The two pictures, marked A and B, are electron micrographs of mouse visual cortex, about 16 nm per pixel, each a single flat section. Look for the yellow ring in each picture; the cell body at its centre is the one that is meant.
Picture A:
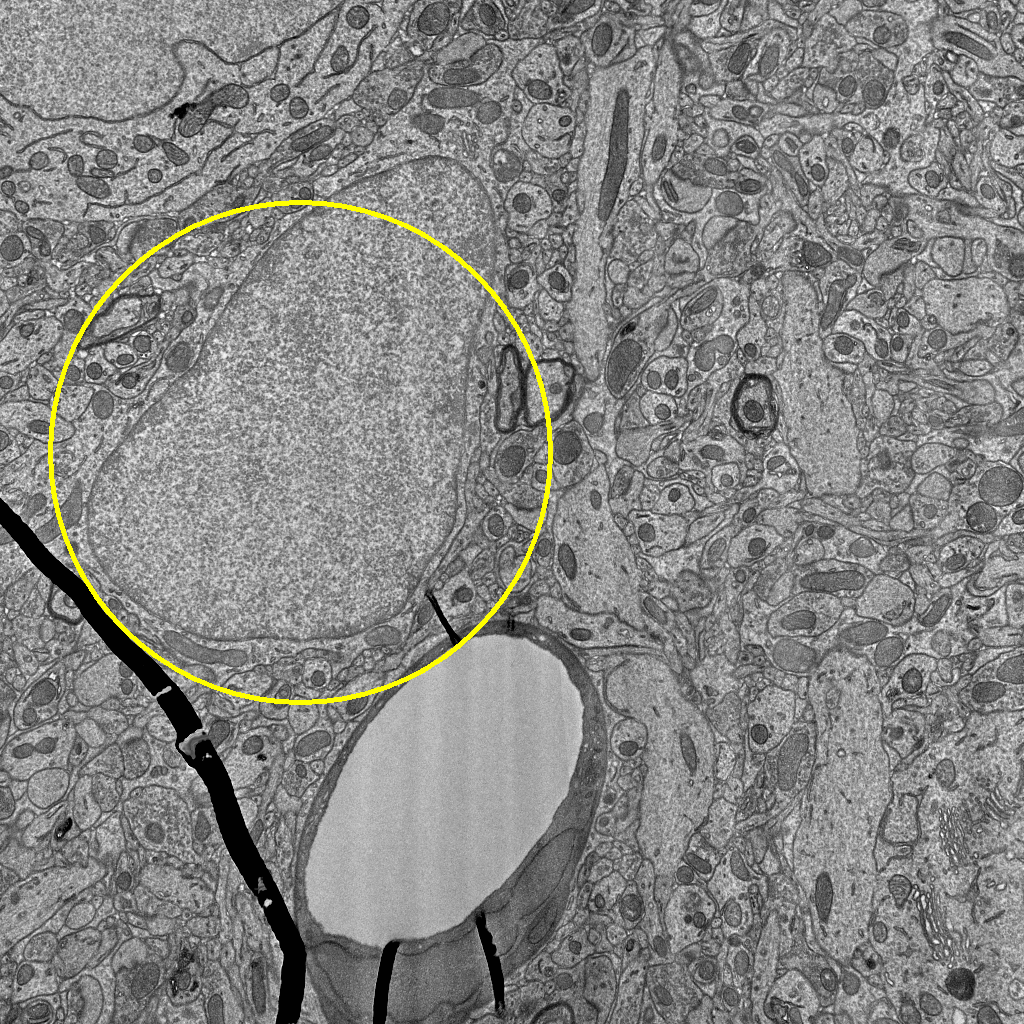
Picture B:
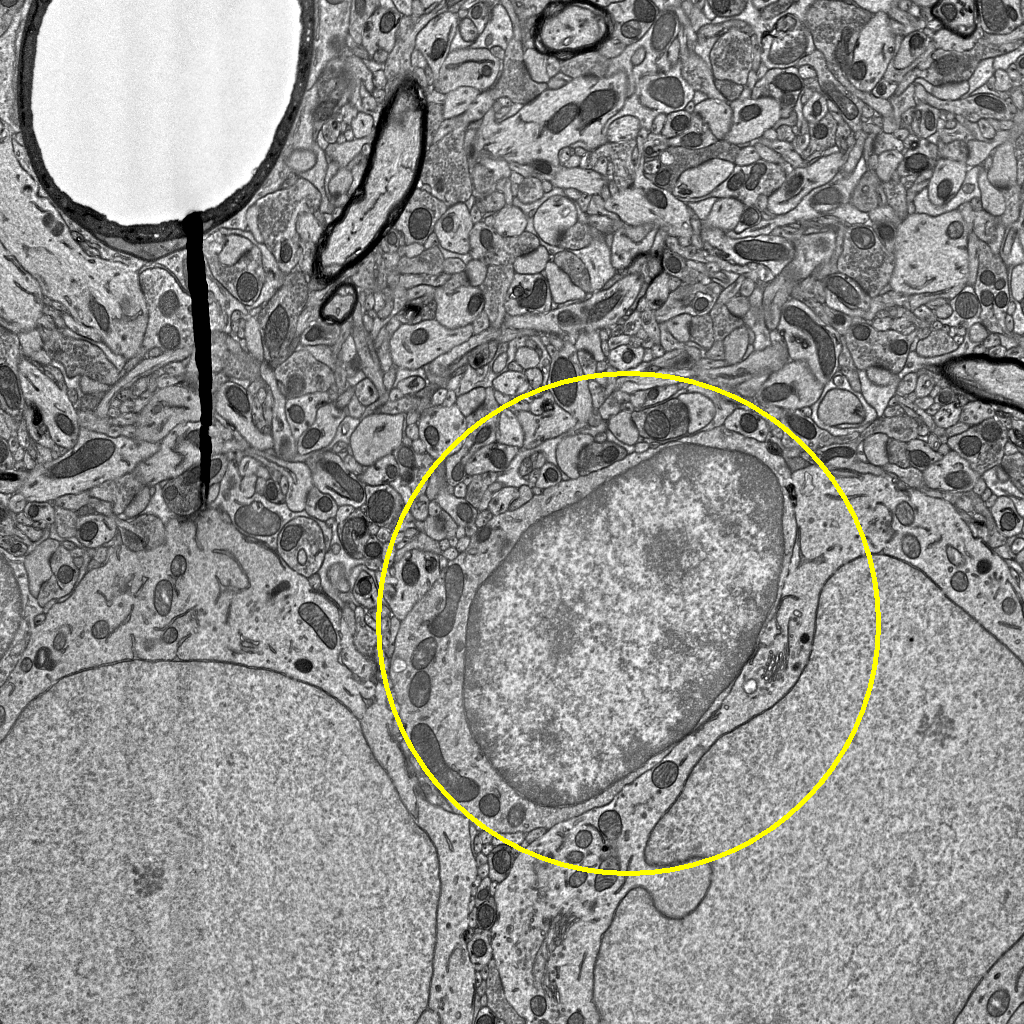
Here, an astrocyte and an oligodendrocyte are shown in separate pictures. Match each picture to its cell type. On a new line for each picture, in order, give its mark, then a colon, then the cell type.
A: astrocyte
B: oligodendrocyte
